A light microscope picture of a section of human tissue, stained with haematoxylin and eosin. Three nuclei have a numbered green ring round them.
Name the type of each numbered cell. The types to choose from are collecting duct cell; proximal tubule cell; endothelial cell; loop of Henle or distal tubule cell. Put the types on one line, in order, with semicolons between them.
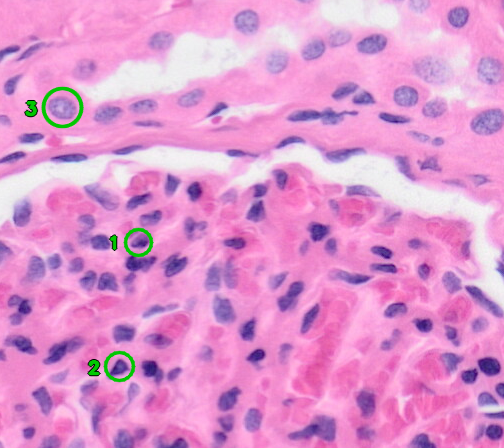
endothelial cell; endothelial cell; loop of Henle or distal tubule cell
